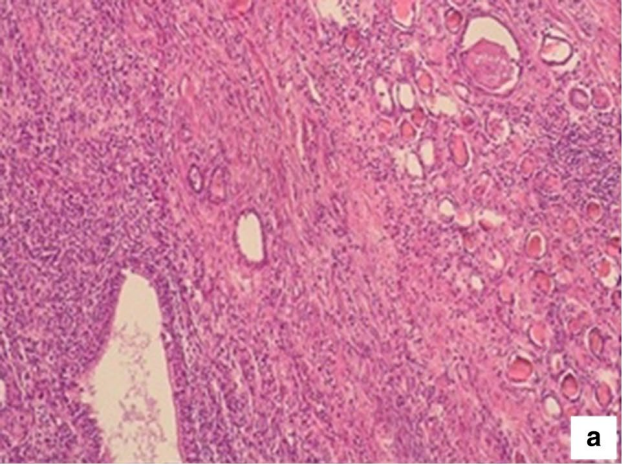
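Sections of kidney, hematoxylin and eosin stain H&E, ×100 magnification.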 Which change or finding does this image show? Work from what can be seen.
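Upper right shows many small round tubules filled with homogeneous pink colloid-like material. The filled tubules resemble thyroid follicles.
Answer: thyroidization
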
